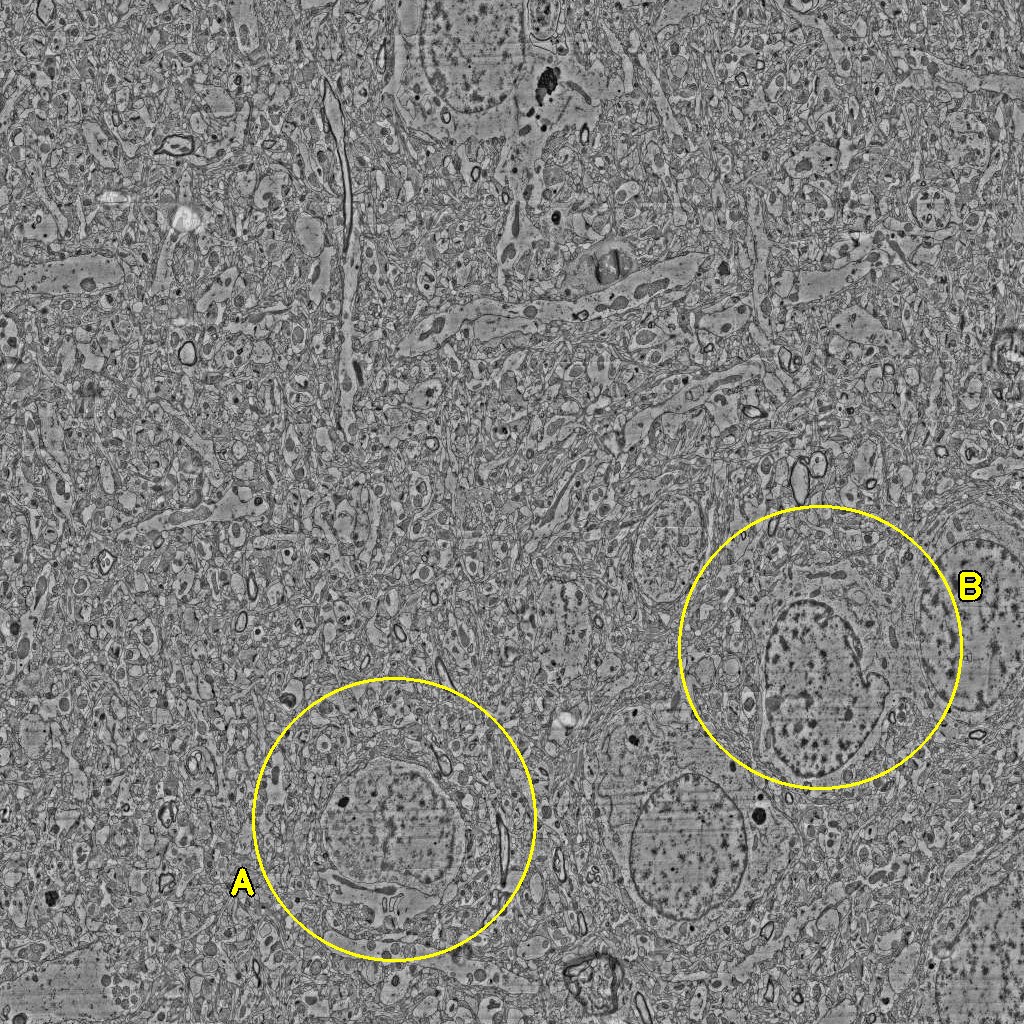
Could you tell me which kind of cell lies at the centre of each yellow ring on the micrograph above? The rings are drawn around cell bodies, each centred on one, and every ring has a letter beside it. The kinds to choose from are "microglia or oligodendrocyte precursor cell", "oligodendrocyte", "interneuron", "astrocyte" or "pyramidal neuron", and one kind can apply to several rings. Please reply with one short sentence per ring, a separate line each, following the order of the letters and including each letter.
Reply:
Ring A circles an interneuron.
Ring B circles a microglial cell or oligodendrocyte precursor cell.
